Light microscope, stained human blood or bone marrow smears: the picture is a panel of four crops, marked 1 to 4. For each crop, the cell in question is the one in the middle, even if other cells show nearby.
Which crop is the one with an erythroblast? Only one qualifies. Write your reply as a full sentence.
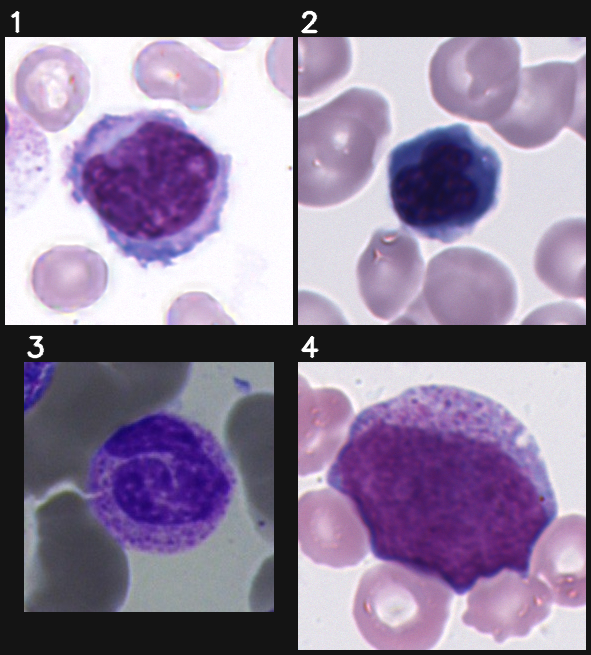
Crop 2 is the crop containing an erythroblast.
